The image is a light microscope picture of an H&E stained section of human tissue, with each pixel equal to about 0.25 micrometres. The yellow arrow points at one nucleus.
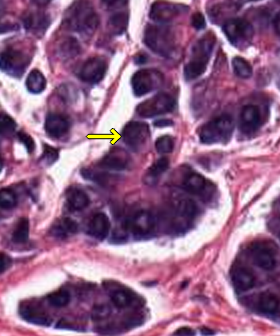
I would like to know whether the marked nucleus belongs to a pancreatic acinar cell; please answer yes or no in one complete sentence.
Yes, the nucleus bearing the mark is that of a pancreatic acinar cell.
